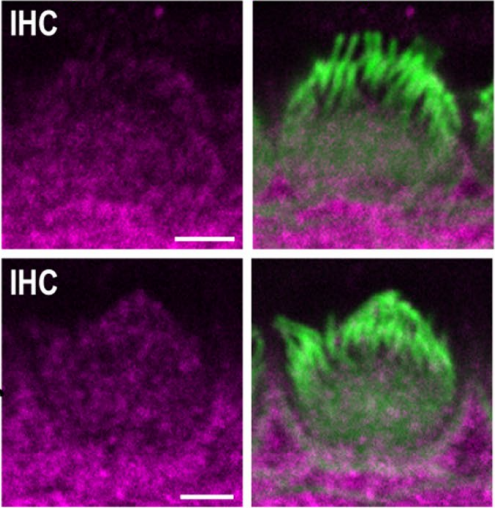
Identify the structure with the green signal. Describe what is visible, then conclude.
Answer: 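Stereociliary bundle. Green rod-like projections fan out in an arc on the top of the cell.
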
